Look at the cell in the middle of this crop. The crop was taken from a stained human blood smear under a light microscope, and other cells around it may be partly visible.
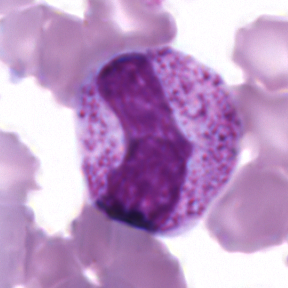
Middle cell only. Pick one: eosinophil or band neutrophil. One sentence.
The cell at the middle of the crop is recognized as a band neutrophil.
